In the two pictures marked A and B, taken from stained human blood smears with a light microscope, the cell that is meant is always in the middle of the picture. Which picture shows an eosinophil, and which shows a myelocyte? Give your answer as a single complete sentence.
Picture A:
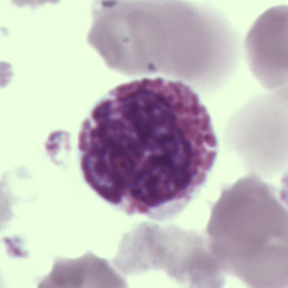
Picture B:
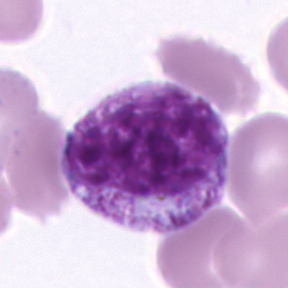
In picture A the cell is an eosinophil; in picture B, a myelocyte.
